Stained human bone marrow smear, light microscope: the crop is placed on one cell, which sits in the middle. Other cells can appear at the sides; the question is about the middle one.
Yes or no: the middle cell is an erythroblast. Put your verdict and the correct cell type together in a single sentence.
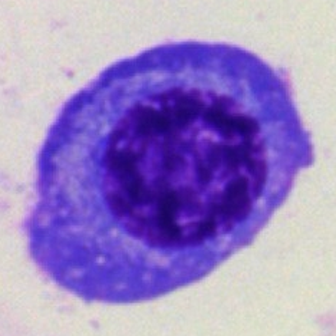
No, in the centre of the crop lies a plasma cell, not an erythroblast.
